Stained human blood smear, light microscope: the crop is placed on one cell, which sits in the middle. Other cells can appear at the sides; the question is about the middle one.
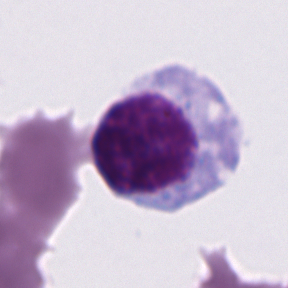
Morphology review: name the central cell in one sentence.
The middle of this crop is occupied by a hairy cell.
